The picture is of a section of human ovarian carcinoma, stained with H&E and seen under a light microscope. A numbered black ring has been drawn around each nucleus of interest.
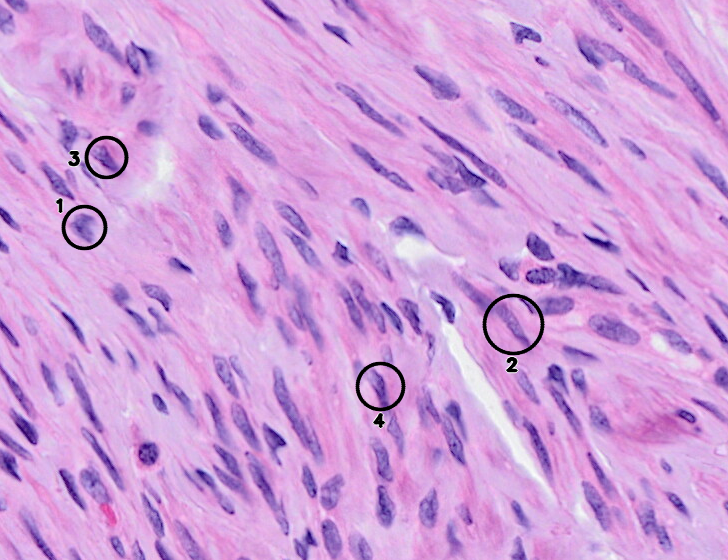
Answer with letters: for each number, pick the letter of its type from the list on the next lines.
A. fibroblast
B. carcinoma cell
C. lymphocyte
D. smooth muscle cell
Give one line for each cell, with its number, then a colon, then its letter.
1: A
2: D
3: D
4: D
